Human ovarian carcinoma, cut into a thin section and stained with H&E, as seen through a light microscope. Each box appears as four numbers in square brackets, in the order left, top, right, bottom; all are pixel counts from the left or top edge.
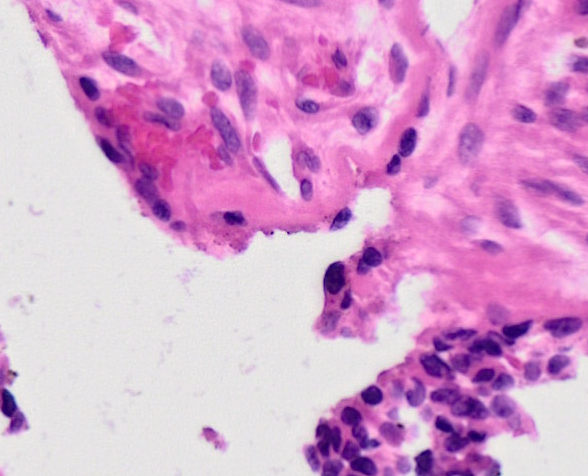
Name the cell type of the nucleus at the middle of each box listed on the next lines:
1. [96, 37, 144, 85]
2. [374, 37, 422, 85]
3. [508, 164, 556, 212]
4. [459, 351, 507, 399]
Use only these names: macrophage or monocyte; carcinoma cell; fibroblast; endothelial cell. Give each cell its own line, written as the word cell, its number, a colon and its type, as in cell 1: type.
cell 1: fibroblast
cell 2: fibroblast
cell 3: fibroblast
cell 4: carcinoma cell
